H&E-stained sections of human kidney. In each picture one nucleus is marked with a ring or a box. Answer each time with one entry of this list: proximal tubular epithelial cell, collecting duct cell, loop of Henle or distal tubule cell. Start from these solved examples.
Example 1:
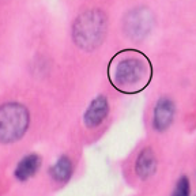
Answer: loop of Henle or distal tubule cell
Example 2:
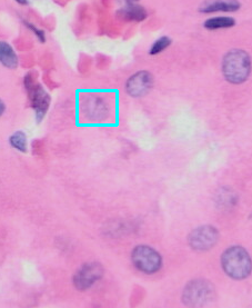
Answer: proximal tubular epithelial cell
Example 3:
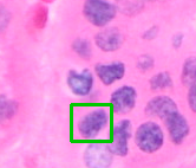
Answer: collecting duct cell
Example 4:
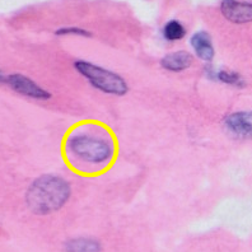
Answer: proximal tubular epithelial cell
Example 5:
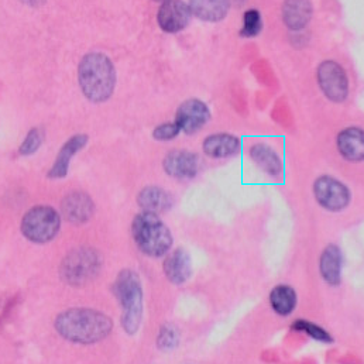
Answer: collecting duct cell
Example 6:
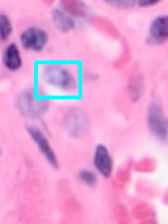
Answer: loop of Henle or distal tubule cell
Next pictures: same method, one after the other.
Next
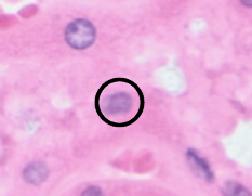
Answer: proximal tubular epithelial cell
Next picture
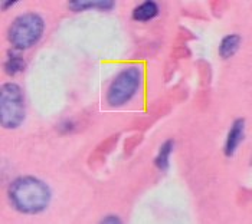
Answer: loop of Henle or distal tubule cell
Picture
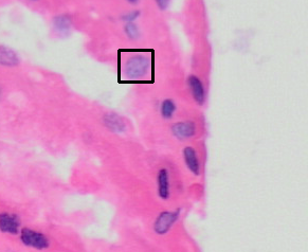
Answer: loop of Henle or distal tubule cell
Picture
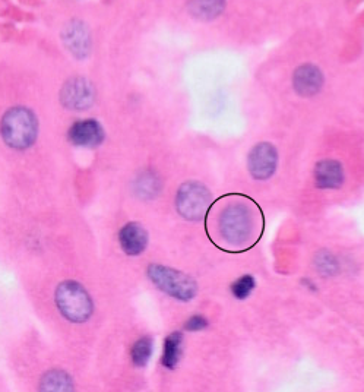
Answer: proximal tubular epithelial cell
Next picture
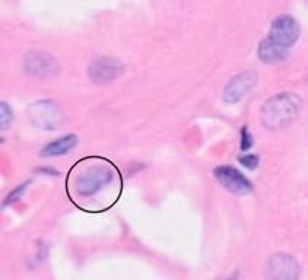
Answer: loop of Henle or distal tubule cell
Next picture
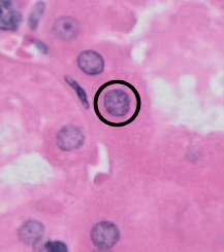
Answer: proximal tubular epithelial cell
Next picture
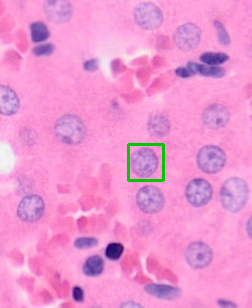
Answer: proximal tubular epithelial cell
